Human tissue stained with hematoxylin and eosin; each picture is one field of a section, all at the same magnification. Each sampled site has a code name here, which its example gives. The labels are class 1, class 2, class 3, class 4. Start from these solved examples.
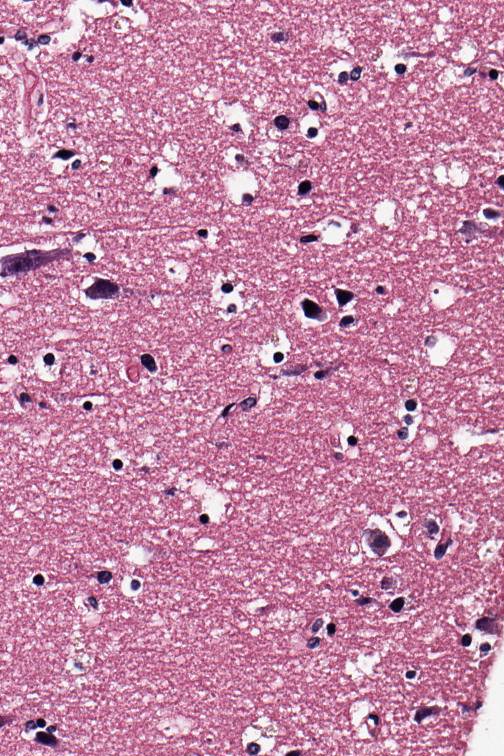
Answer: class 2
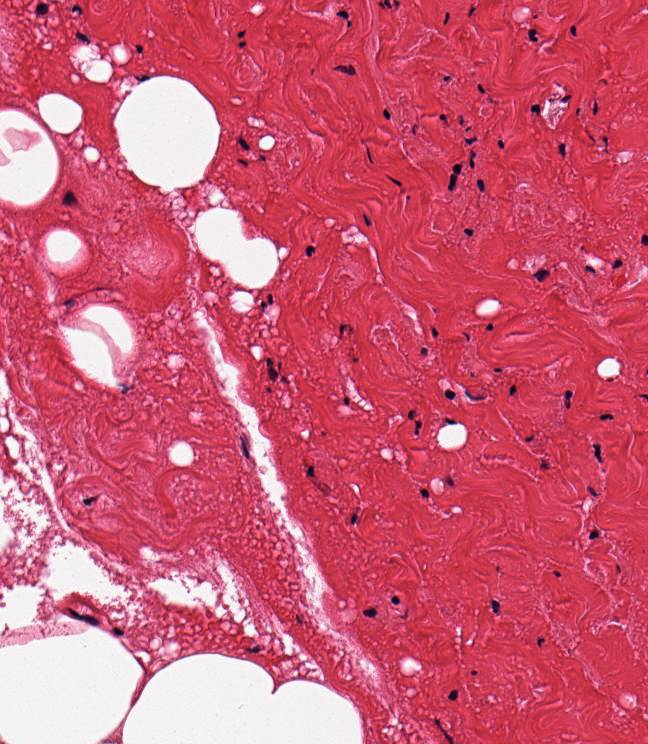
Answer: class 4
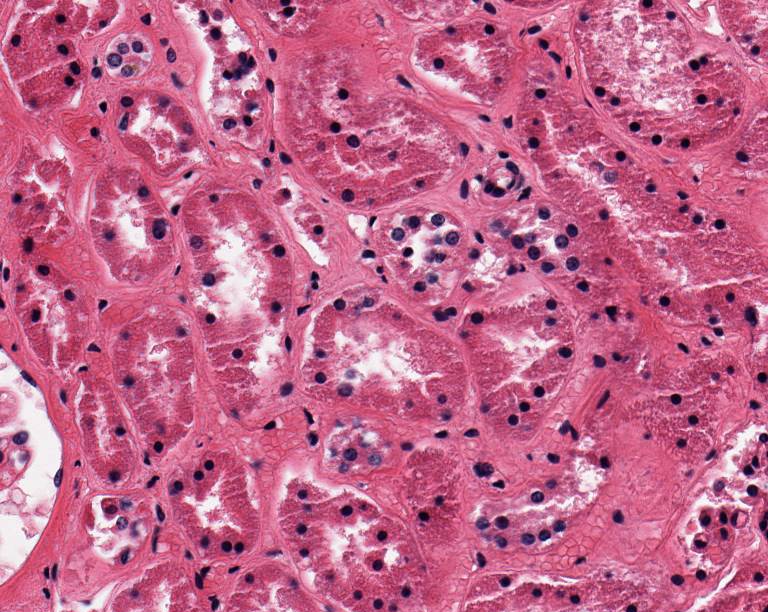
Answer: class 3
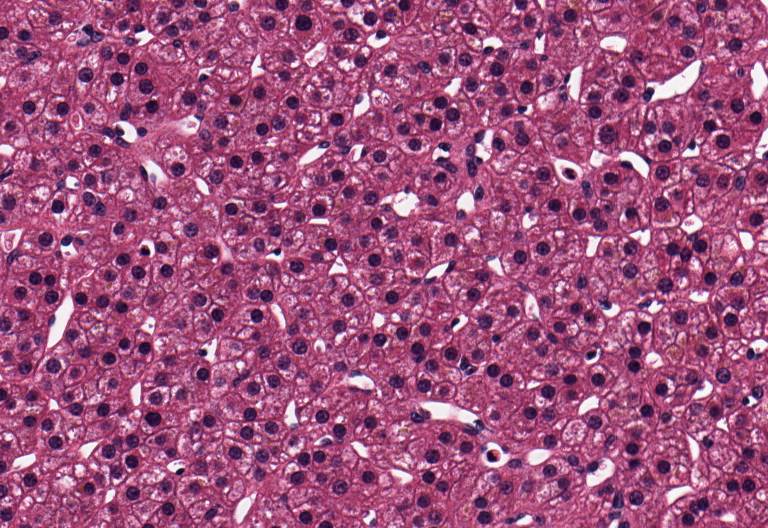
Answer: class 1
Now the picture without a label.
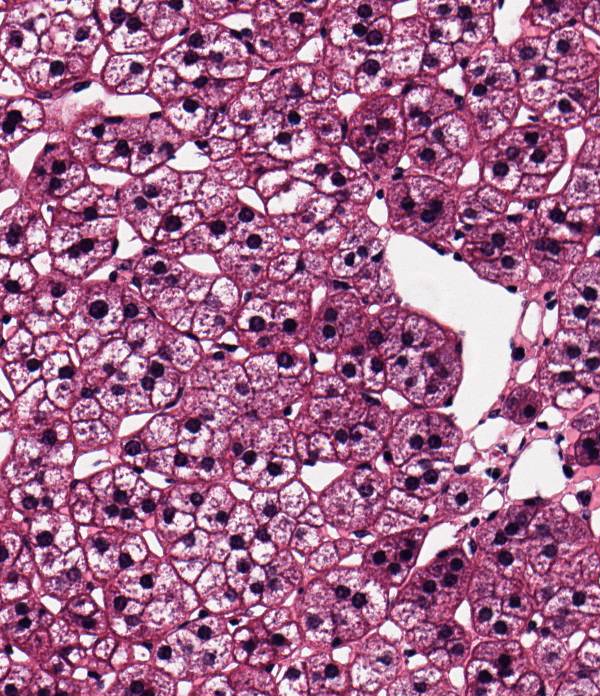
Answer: class 1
